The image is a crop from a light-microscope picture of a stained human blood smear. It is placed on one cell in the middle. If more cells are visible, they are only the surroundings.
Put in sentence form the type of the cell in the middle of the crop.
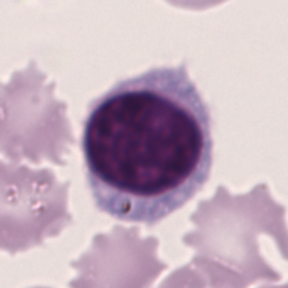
For this crop, the cell in the middle is a hairy cell.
